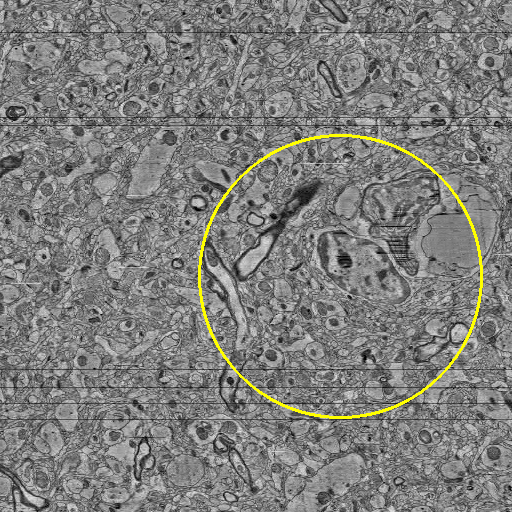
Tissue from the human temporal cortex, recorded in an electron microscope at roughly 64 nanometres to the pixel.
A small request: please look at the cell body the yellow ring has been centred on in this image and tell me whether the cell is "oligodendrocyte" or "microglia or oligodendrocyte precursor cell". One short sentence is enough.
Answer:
The cell marked by the ring is a microglial cell or oligodendrocyte precursor cell.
